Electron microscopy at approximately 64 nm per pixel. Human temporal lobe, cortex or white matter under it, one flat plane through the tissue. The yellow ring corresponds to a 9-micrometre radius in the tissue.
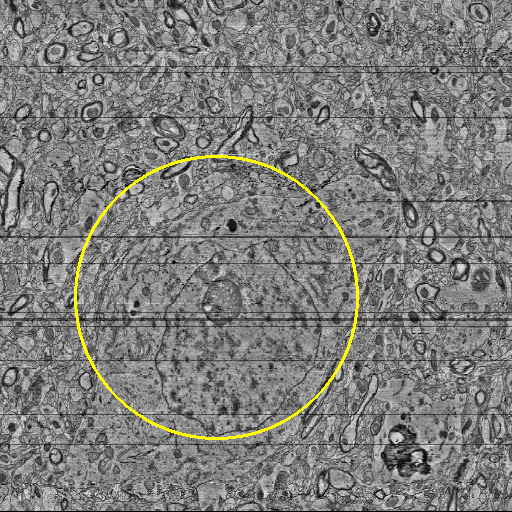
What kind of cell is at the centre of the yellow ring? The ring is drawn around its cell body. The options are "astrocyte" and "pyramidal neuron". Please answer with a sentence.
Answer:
The yellow ring marks the cell body of a pyramidal neuron.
